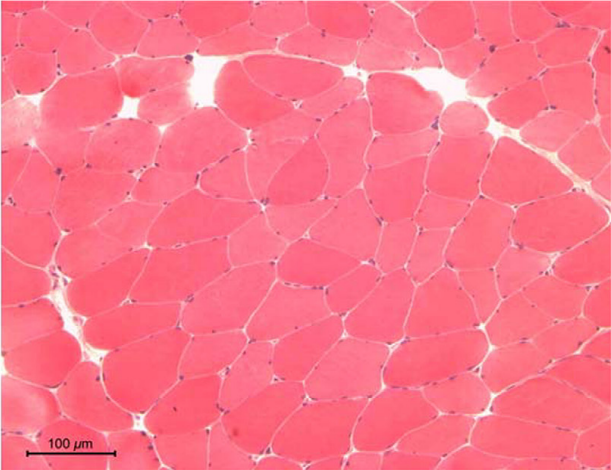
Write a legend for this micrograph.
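Transverse section of skeletal muscle showing polygonal pink myofibers with peripheral, dark purple nuclei. Fibers vary somewhat in size and are separated by thin endomysial borders, with a few small empty spaces and pale connective tissue between fiber groups. There is no inflammatory infiltrate and no sign of fiber necrosis.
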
